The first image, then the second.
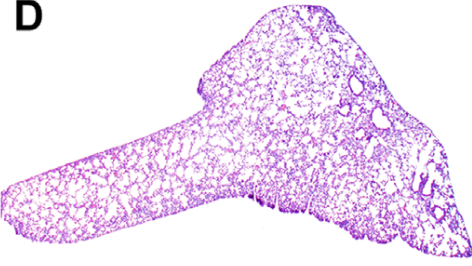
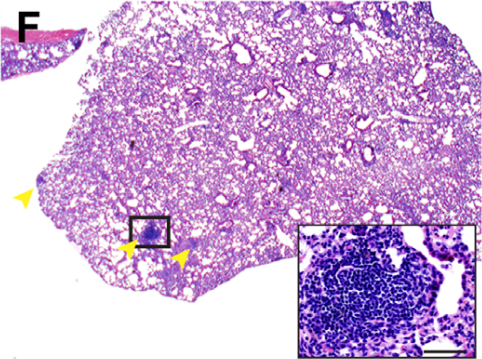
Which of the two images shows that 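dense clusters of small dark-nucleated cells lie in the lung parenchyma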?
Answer: the second image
